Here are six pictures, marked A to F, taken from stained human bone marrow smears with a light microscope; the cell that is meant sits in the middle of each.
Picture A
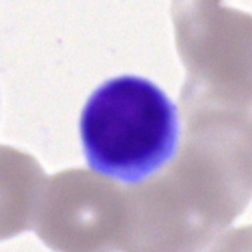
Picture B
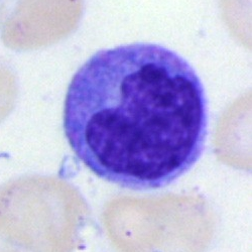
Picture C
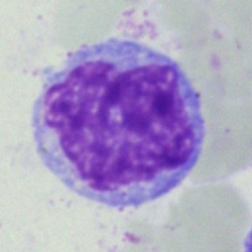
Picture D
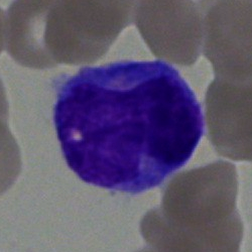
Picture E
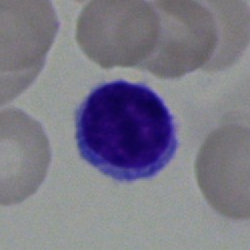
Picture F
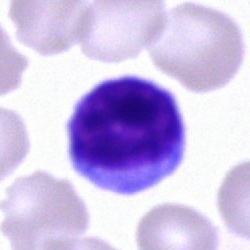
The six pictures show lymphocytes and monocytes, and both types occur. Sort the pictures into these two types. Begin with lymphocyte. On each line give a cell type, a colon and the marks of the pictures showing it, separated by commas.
lymphocyte: A, E, F
monocyte: B, C, D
